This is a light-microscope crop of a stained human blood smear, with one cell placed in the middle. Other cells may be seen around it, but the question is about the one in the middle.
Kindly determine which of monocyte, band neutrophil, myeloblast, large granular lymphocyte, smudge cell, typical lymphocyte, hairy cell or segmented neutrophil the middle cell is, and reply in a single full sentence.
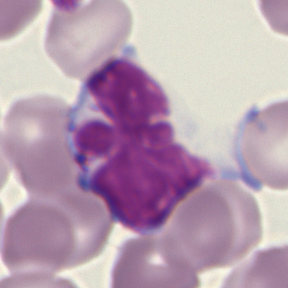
Positioned in the middle of the crop is a typical lymphocyte.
